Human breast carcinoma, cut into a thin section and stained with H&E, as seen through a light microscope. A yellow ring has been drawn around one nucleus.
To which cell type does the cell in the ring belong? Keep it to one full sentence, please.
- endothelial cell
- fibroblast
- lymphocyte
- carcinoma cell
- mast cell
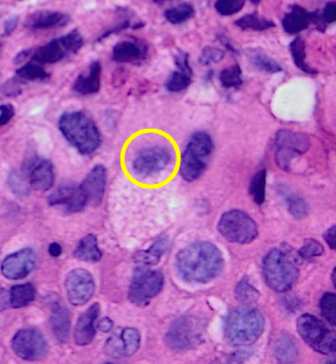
As a matter of cell type, the cell in the ring is a carcinoma cell.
